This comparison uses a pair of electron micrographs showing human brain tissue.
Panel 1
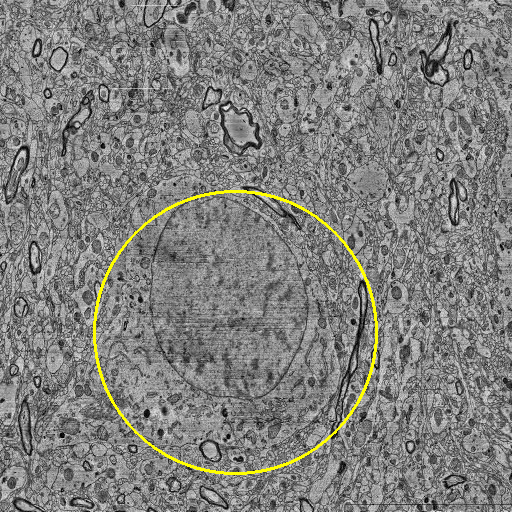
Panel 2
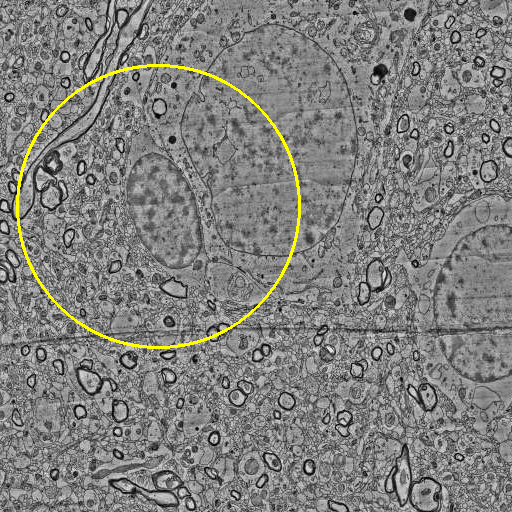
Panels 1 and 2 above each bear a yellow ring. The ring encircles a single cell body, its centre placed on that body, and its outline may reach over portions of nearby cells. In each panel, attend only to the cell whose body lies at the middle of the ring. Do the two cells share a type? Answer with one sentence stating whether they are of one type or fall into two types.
In Panel 1 and Panel 2, the cells at the centres of the rings fall into two types.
